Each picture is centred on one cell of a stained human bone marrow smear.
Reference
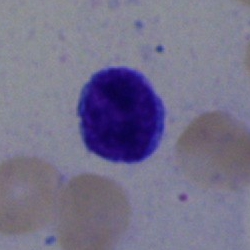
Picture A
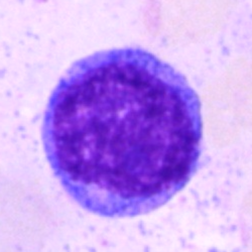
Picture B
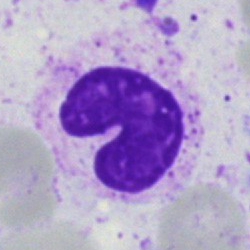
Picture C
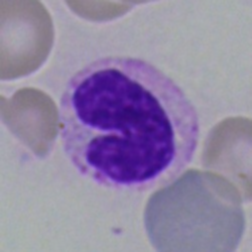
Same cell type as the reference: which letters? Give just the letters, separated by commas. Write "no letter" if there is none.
no letter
